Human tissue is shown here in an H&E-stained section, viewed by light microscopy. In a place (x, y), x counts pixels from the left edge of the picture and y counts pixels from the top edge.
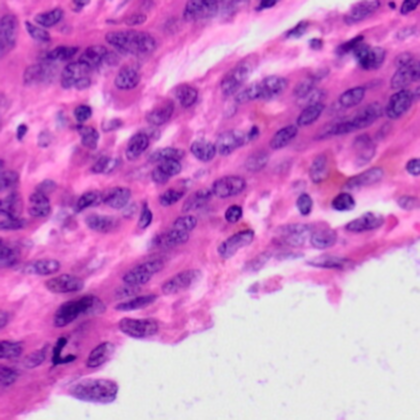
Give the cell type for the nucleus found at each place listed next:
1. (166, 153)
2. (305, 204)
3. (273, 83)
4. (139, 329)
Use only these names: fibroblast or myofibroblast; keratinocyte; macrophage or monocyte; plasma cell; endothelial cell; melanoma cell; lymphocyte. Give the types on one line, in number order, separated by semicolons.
melanoma cell; lymphocyte; melanoma cell; melanoma cell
